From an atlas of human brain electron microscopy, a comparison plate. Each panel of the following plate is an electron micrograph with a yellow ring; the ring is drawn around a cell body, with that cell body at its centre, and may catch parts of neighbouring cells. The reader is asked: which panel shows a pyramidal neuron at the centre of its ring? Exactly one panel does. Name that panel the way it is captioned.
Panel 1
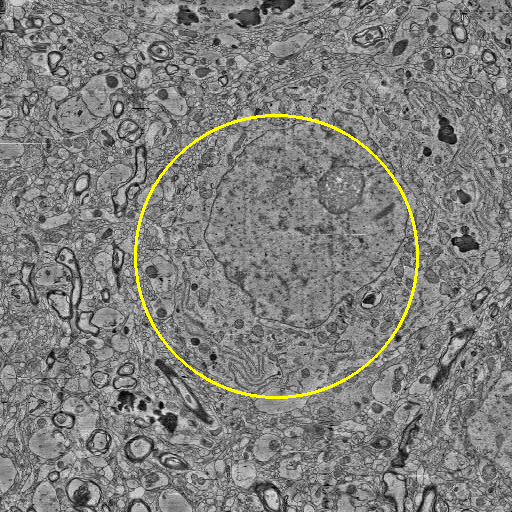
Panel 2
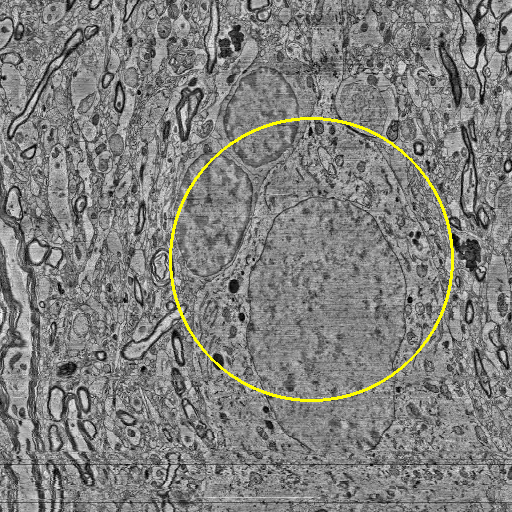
Panel 2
